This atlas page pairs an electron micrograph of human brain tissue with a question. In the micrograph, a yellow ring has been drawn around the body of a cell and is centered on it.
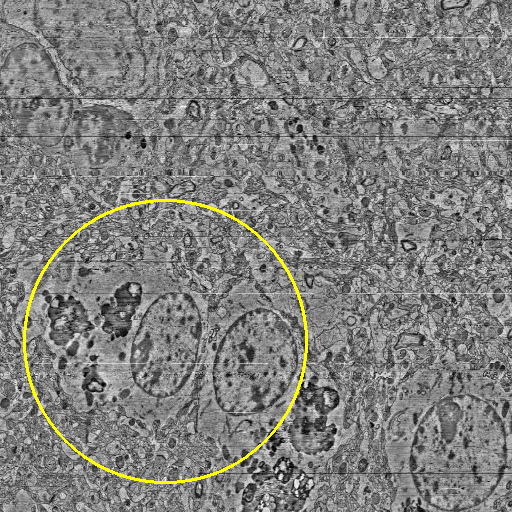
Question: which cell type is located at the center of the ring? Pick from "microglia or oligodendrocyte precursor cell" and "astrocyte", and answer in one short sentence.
Located at the center of the ring is an astrocyte.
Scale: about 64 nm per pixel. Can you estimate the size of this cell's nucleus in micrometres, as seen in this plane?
The nucleus measures about 7 by 4 micrometres, so it is clearly longer than it is wide in this plane.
